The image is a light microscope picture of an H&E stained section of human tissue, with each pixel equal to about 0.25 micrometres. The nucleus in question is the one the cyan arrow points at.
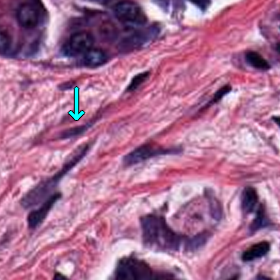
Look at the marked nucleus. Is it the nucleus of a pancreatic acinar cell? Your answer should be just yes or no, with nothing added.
no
